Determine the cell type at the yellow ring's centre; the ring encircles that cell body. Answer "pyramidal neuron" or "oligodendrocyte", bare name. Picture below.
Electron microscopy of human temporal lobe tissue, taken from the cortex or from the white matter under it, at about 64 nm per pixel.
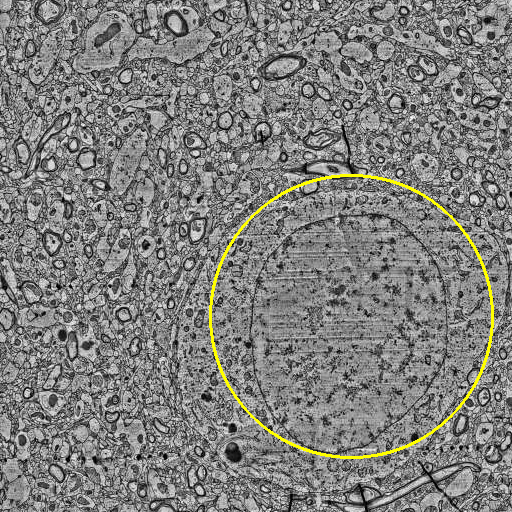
pyramidal neuron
